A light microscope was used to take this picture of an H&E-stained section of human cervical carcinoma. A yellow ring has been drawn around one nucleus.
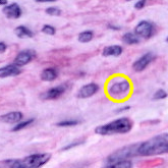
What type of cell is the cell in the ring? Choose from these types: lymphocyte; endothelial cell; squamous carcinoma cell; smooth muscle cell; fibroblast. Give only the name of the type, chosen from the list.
smooth muscle cell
